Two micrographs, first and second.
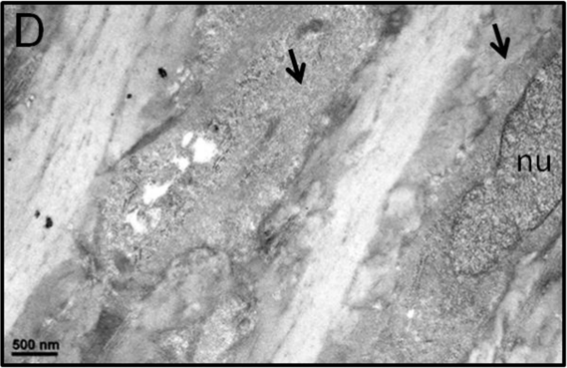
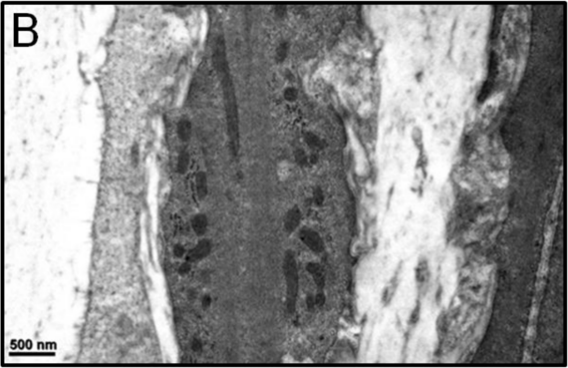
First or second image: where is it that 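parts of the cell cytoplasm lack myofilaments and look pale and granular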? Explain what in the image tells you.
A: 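The first image. First image: the cytoplasm contains pale, granular, patchy areas without dense fibrillar texture.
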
